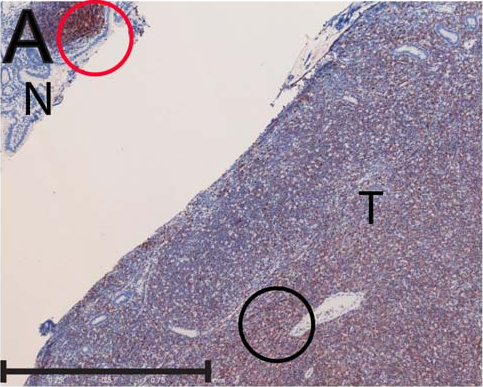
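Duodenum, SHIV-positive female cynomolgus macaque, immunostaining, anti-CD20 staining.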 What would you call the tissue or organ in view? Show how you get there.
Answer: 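Lymphoma tumor. A large, solid, diffuse sheet of densely packed cells fills most of the panel. The cellular sheet is diffusely brown stained.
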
